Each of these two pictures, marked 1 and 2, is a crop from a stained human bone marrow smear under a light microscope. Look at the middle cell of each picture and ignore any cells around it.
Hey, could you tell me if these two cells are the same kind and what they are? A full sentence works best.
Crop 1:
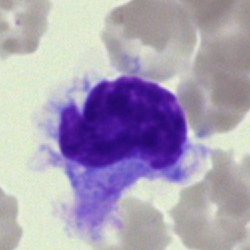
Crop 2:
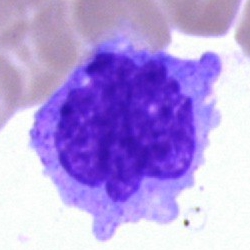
No, crop 1 carries a hairy cell and crop 2 carries a monocyte.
